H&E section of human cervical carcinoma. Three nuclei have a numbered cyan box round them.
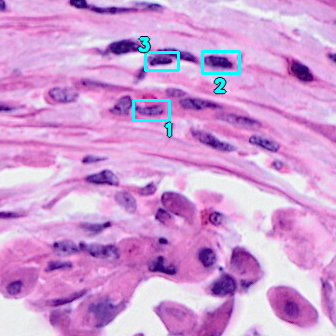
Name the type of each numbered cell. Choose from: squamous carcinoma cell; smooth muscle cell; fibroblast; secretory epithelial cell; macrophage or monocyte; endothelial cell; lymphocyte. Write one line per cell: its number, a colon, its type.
1: endothelial cell
2: lymphocyte
3: lymphocyte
